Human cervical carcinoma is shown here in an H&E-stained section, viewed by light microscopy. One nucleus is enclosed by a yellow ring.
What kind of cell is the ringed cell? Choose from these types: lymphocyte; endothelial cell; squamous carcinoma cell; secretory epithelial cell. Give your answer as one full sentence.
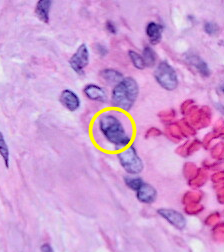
The category to which the ringed cell belongs is that of an endothelial cell.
